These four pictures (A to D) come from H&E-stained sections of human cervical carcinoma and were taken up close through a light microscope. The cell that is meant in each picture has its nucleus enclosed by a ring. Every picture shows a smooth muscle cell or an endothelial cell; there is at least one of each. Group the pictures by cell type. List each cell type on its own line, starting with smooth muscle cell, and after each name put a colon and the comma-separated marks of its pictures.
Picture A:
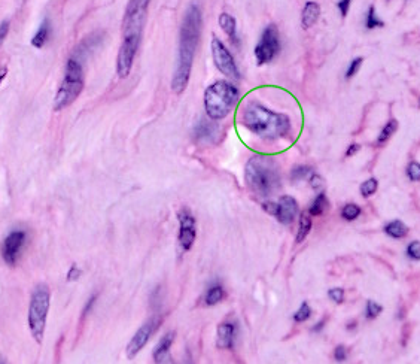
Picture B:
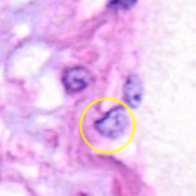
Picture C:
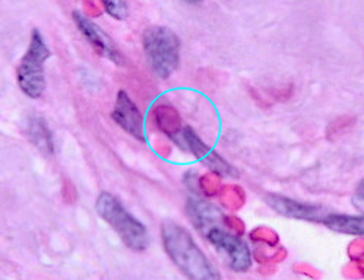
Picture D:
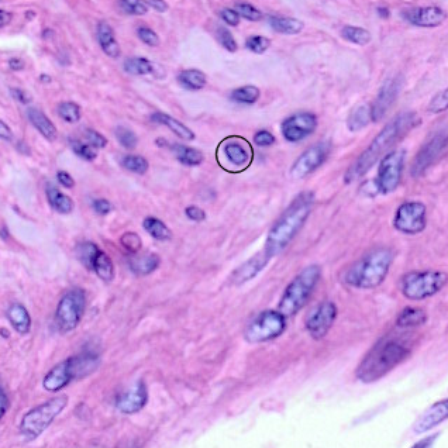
smooth muscle cell: D
endothelial cell: A, B, C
